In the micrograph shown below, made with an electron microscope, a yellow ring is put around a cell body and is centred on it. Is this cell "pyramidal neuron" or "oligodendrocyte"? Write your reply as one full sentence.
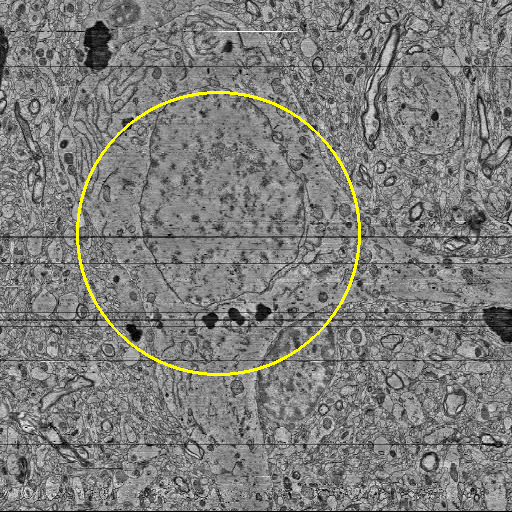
In the micrograph, a pyramidal neuron is the cell at the centre of the yellow ring.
